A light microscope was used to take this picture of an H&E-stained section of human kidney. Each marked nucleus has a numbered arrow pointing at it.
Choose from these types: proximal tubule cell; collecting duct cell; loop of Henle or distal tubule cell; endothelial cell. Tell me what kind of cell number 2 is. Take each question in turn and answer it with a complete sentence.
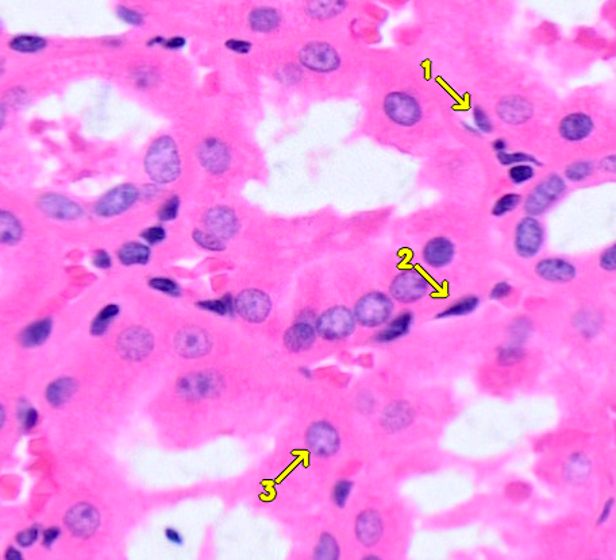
In the tissue shown, cell 2 is an endothelial cell.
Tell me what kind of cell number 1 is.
The cell that is numbered 1 is an endothelial cell.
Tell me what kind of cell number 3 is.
Cell 3 of the marked set is a proximal tubule cell.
